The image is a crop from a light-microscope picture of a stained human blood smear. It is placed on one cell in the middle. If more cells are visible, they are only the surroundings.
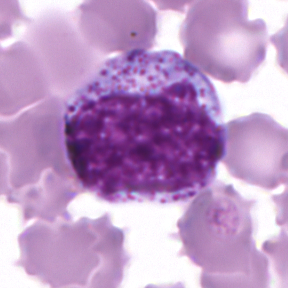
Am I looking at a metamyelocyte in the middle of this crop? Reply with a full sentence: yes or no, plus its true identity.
Yes, the cell positioned at the centre of the crop is a metamyelocyte.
